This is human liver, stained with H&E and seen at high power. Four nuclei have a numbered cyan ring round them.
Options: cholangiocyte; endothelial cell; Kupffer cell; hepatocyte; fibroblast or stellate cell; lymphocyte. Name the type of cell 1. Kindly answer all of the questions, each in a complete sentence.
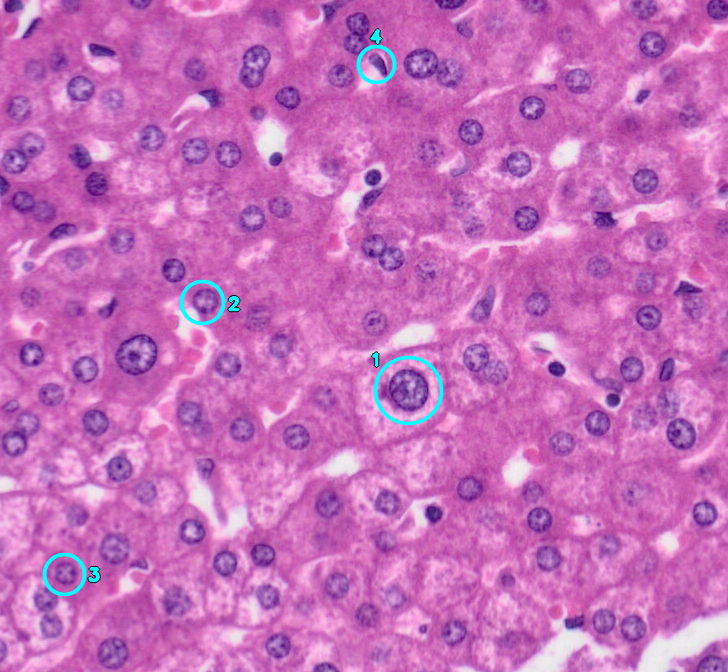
The marked cell with the number 1 is recognised as a hepatocyte.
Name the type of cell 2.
Cell 2 of the marked set is a hepatocyte.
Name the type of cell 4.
The numbered cell 4 is identified here as an endothelial cell.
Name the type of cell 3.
The cell that is numbered 3 is a hepatocyte.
